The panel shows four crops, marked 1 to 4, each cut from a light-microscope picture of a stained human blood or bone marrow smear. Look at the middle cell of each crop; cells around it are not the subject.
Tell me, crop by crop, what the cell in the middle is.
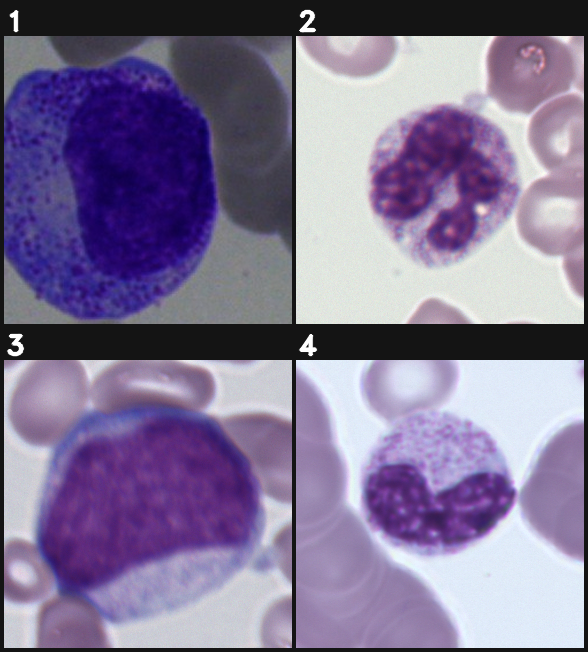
1: promyelocyte
2: segmented neutrophil
3: promyelocyte
4: band neutrophil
